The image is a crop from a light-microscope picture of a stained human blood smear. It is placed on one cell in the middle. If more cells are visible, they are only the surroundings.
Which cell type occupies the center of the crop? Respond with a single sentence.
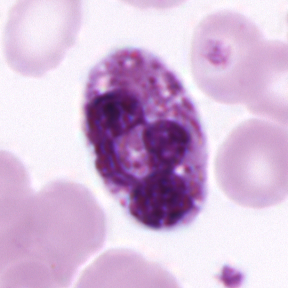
For this crop, the cell in the middle is an eosinophil.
